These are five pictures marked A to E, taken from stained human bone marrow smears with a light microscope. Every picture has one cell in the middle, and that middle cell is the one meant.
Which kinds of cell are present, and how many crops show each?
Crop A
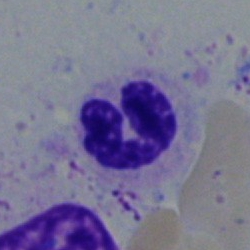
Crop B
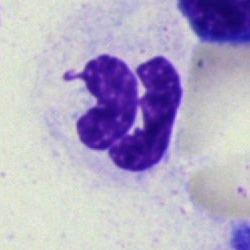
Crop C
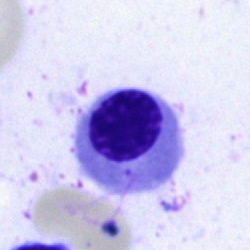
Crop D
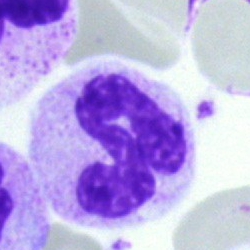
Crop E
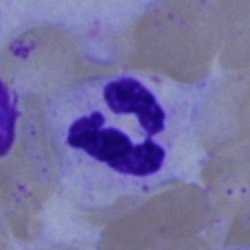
segmented neutrophil: 4
erythroblast: 1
